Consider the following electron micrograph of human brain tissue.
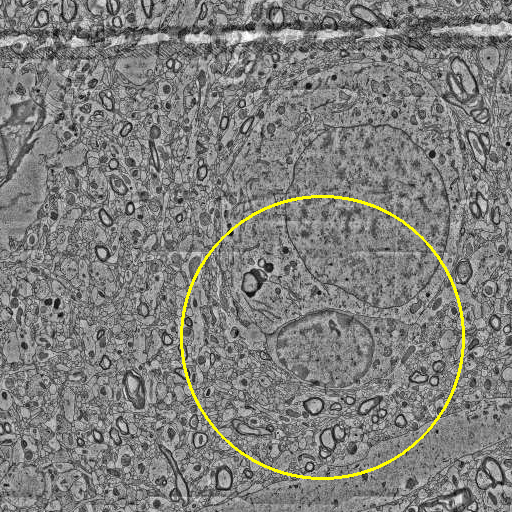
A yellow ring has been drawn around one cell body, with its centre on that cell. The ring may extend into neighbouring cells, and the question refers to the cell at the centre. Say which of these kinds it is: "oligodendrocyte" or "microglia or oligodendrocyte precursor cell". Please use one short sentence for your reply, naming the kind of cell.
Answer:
The centre of the ring falls on an oligodendrocyte.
